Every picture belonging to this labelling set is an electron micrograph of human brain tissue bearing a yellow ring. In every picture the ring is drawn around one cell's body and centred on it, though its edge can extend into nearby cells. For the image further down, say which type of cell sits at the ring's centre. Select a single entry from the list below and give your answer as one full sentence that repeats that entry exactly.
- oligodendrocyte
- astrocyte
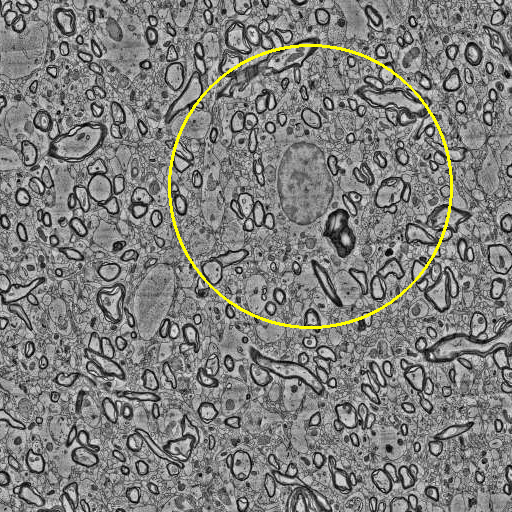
In the picture, an oligodendrocyte is the cell at the centre of the yellow ring.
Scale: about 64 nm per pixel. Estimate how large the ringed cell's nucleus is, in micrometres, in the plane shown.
In this plane the nucleus spans approximately 5 by 4 micrometers.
